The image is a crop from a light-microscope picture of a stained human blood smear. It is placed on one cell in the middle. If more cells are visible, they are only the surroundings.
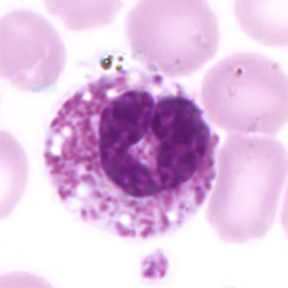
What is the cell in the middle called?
eosinophil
